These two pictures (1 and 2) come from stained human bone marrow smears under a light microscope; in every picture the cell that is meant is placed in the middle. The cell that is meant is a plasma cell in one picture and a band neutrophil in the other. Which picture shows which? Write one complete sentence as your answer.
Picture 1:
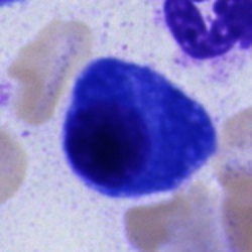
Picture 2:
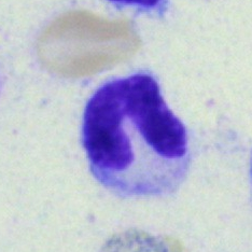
Picture 2 shows a band neutrophil, while picture 1 shows a plasma cell.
